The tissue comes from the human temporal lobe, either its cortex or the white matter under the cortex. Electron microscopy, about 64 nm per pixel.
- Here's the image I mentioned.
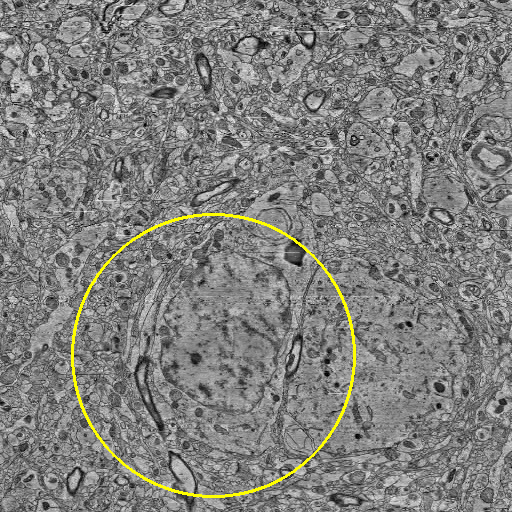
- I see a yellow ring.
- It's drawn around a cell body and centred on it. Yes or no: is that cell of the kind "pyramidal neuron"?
no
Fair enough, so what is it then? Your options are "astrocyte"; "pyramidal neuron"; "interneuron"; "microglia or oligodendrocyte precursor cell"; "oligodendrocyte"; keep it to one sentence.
The cell ringed in the picture is an interneuron.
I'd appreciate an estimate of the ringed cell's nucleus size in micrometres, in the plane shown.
The nucleus is approximately 11 micrometers across in this plane.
